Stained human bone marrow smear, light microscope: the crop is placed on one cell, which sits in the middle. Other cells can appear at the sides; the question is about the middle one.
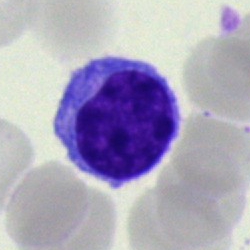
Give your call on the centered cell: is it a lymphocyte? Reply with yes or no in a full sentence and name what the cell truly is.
Yes, the cell at the middle of the field is to be classed as a lymphocyte.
